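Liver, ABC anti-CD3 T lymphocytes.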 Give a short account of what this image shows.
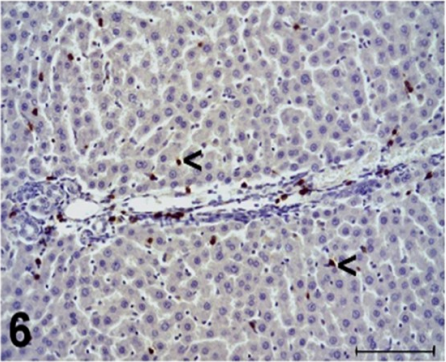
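The hepatocytes are polygonal with pale cytoplasm and central round blue nuclei, arranged in cords separated by sinusoids. The brown cells are small and compact, scattered singly in the sinusoids. Many more of them cluster along a vessel crossing the field in a thin strip of connective tissue.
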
